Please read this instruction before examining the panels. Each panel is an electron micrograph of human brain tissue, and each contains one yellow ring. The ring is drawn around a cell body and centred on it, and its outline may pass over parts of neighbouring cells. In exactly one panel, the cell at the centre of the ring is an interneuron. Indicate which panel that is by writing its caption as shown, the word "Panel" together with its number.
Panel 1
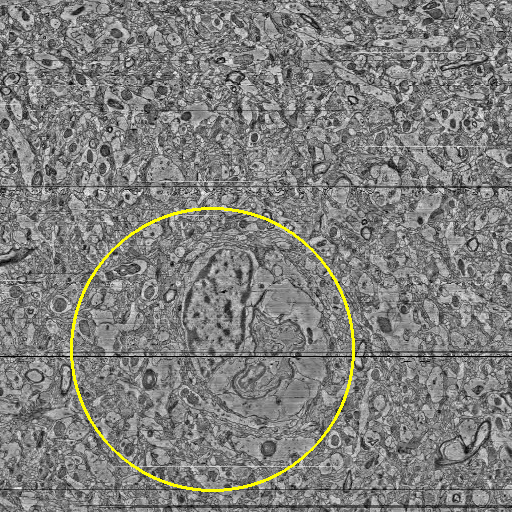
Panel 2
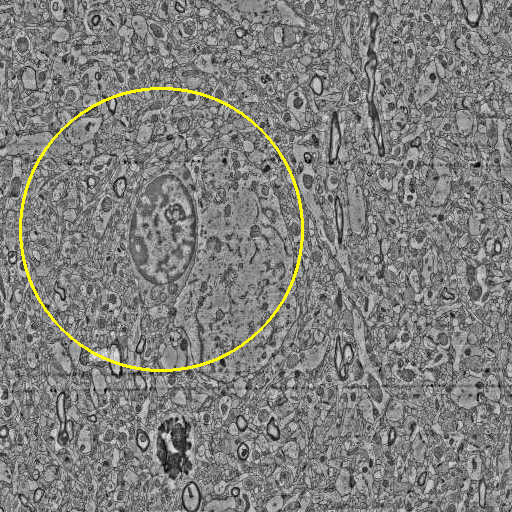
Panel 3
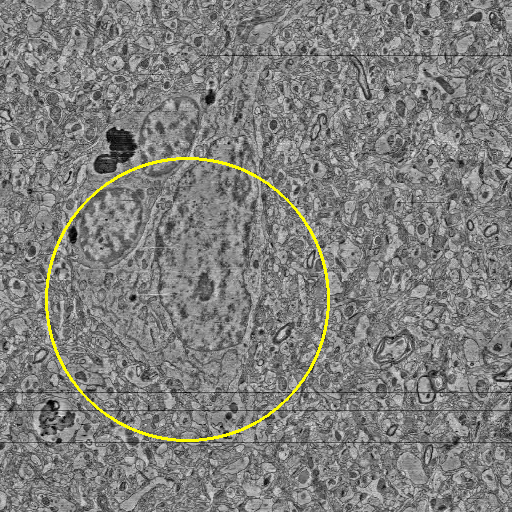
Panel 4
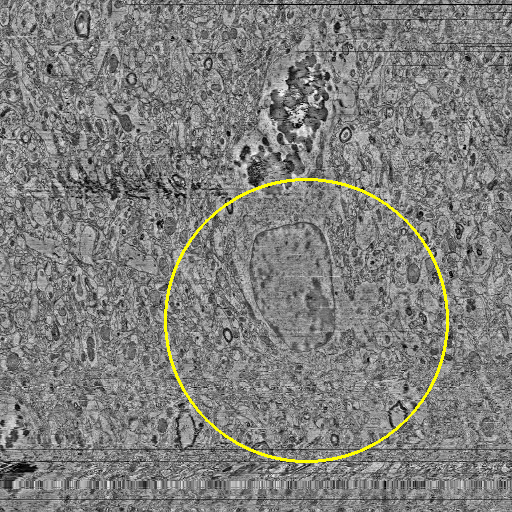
Panel 3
